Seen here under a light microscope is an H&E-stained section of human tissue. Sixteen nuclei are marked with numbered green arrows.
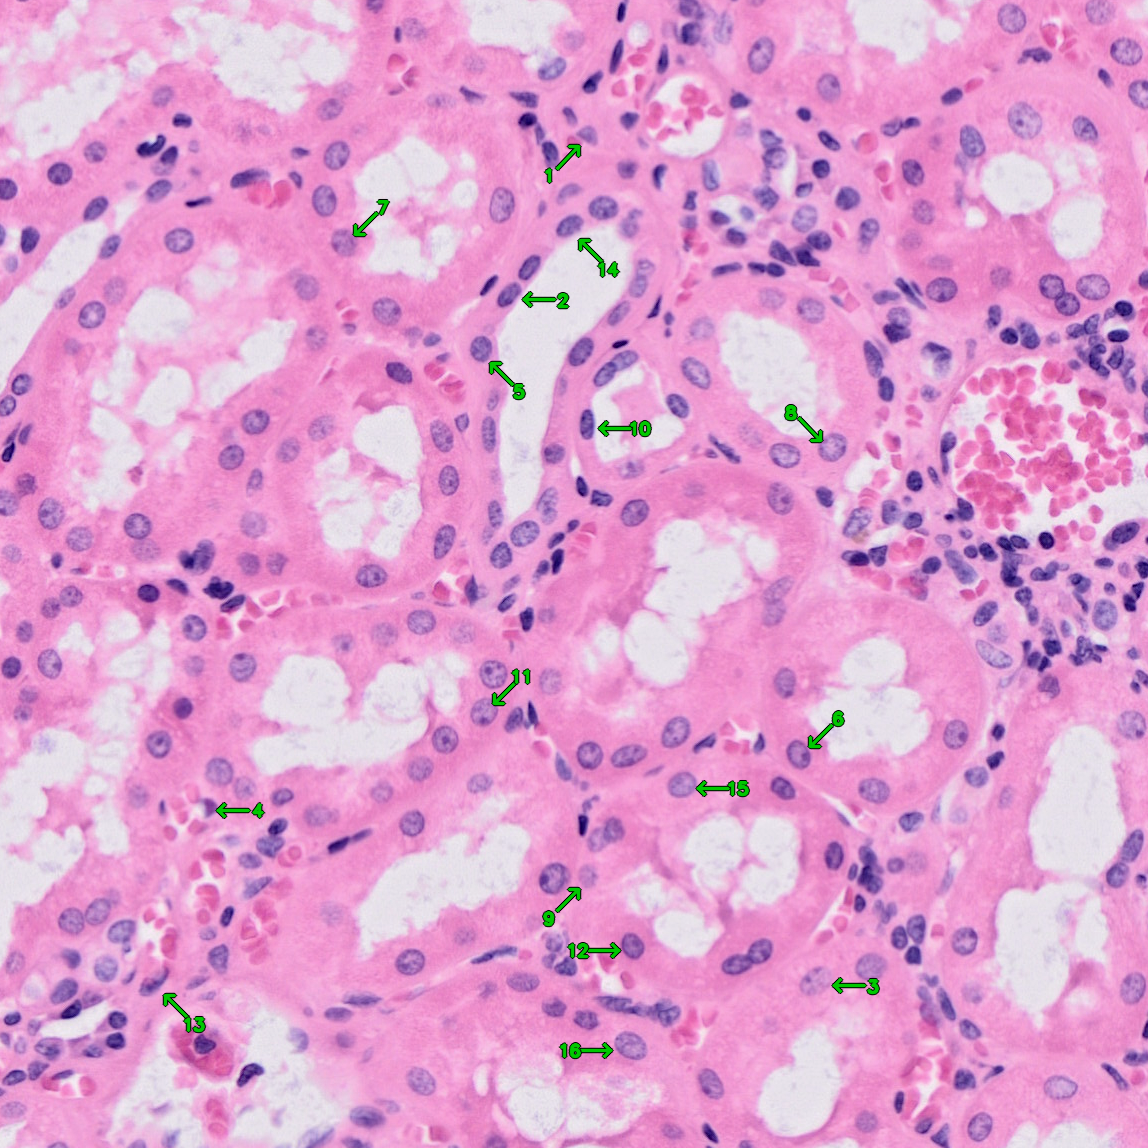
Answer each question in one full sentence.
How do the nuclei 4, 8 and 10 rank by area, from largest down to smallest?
Going from the biggest nucleus down to the smallest gives 8, 10, 4.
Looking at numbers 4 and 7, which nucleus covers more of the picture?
Nucleus 7 is the larger one, covering about 2.5 times the area of nucleus 4.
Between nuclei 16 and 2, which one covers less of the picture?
Nucleus 2 covers less area, with nucleus 16 about 1.5 times as large.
